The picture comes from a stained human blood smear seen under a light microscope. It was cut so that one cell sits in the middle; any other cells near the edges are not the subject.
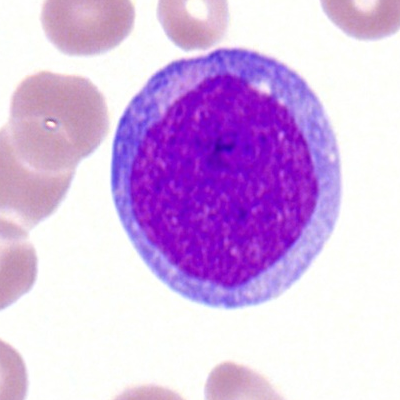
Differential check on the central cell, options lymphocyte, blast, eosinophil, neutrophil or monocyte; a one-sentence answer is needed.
In the middle of this smear crop is a blast.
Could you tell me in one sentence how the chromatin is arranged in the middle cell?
The chromatin is delicate and fine, lacking coarse clumping entirely.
